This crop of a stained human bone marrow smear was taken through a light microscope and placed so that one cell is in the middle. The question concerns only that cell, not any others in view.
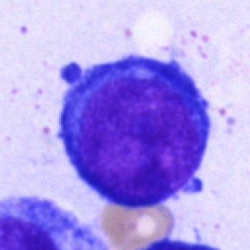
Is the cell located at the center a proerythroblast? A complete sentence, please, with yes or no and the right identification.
Yes, the cell occupying the middle of the crop is a proerythroblast.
